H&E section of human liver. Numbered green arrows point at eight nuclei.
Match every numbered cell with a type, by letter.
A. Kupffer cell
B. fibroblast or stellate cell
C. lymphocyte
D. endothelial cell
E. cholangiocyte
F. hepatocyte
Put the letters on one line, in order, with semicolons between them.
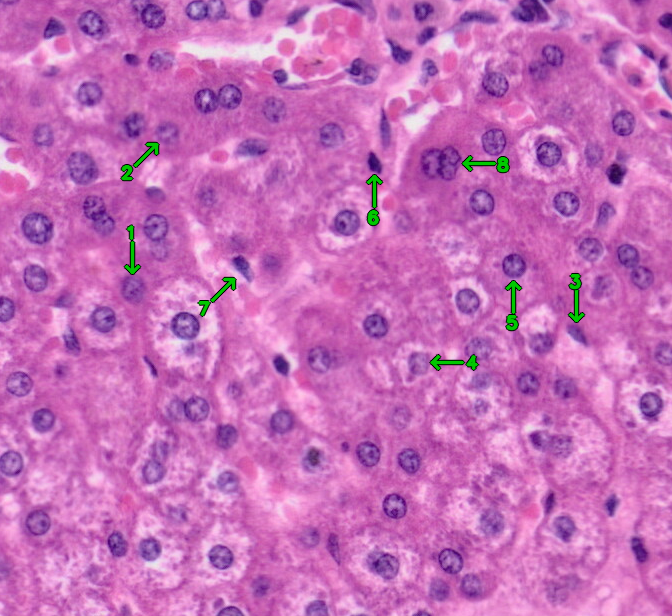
F; F; D; F; F; B; B; F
